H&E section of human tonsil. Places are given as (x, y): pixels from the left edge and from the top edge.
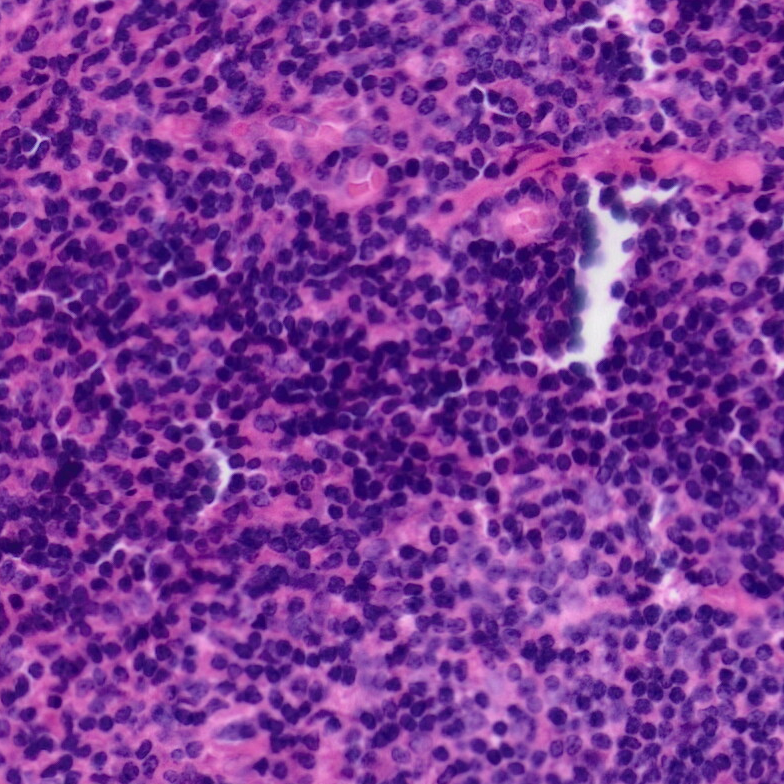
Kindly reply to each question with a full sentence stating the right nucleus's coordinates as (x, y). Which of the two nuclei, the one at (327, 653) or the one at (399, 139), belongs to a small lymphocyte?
Of the two candidate nuclei, the one at (327, 653) is that of a small lymphocyte.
